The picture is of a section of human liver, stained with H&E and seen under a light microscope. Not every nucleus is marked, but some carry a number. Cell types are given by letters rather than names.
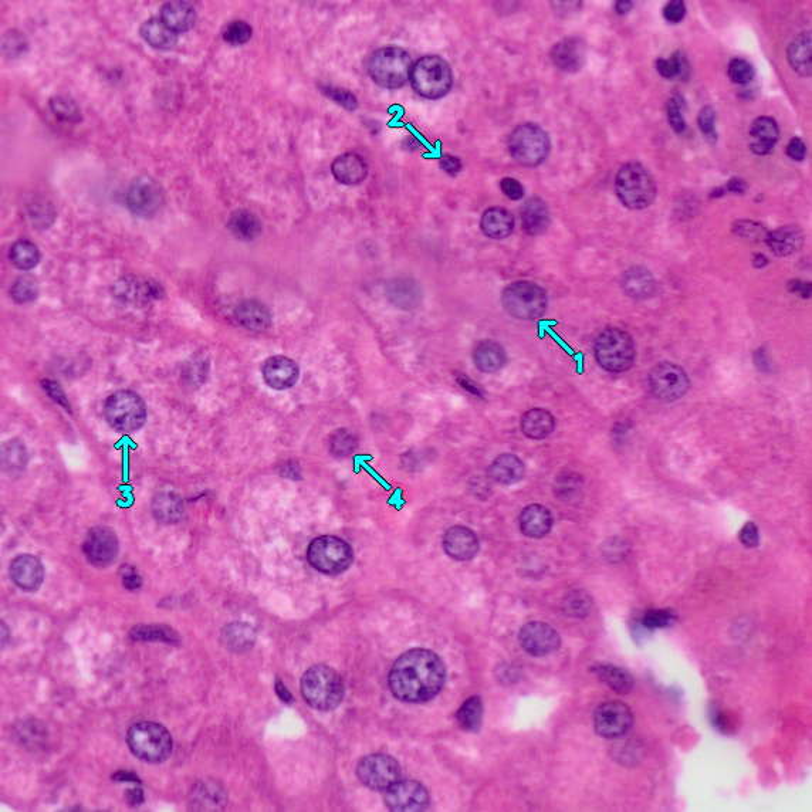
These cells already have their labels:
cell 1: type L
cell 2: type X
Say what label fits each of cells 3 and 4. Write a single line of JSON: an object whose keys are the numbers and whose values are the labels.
{"3": "type L", "4": "type L"}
